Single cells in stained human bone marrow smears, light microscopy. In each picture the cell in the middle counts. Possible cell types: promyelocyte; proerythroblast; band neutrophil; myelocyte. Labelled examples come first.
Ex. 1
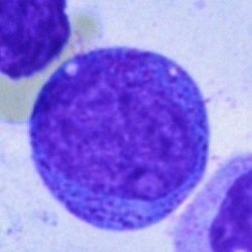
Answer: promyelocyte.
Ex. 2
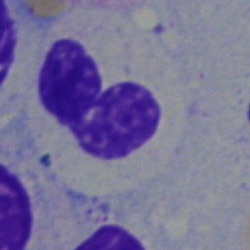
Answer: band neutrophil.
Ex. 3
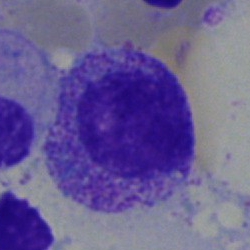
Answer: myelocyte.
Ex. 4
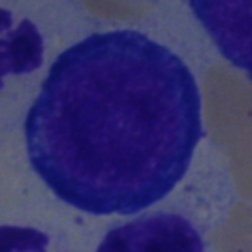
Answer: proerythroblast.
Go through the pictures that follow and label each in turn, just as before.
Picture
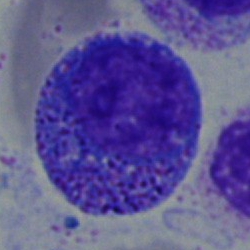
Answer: promyelocyte.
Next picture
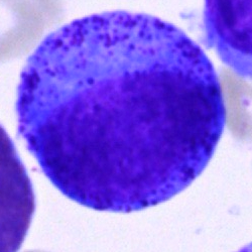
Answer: promyelocyte.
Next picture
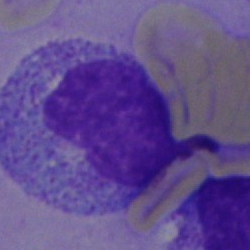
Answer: myelocyte.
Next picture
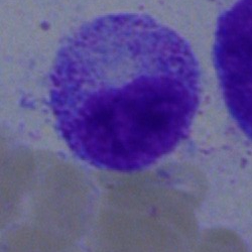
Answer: myelocyte.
